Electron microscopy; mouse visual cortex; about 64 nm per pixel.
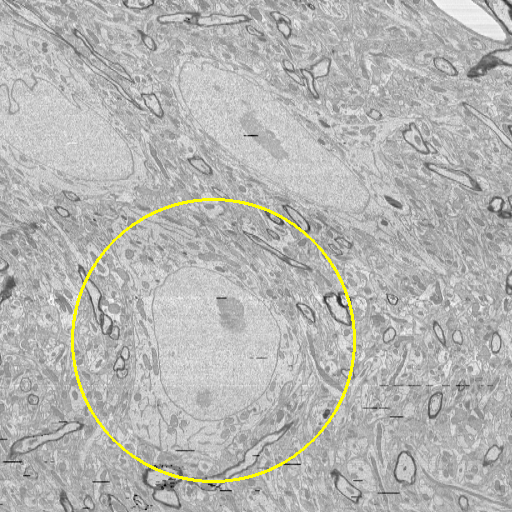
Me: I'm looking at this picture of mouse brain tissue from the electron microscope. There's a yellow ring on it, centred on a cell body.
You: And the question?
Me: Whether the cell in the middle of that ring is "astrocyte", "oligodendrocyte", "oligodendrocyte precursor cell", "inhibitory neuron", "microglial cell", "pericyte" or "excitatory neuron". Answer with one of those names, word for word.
excitatory neuron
